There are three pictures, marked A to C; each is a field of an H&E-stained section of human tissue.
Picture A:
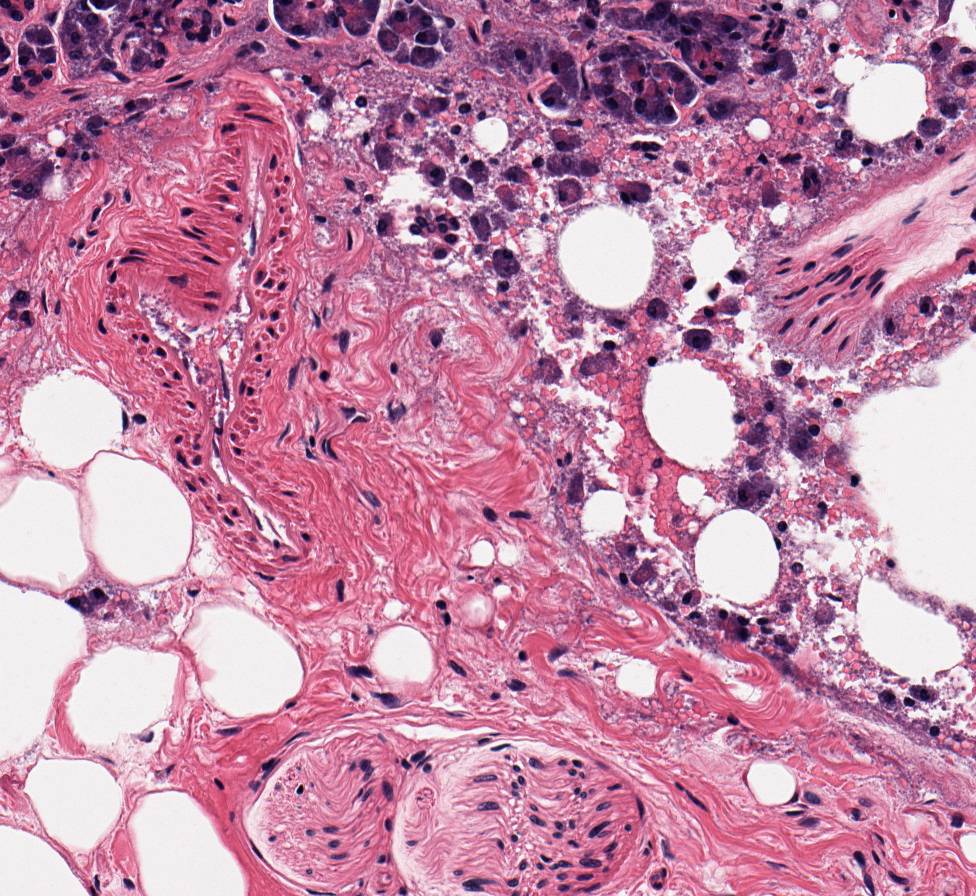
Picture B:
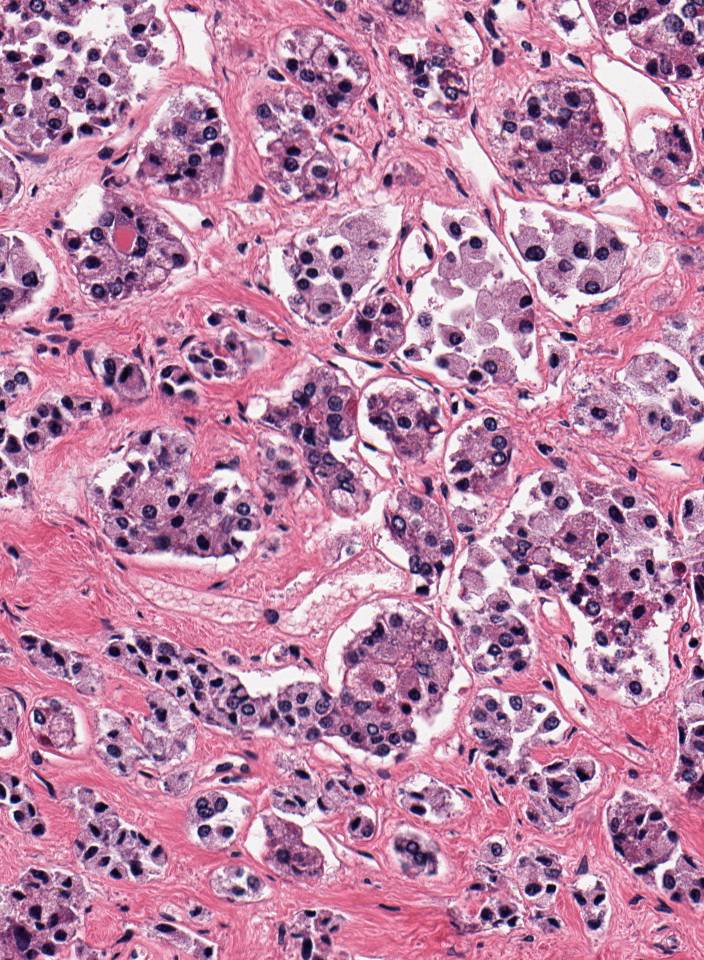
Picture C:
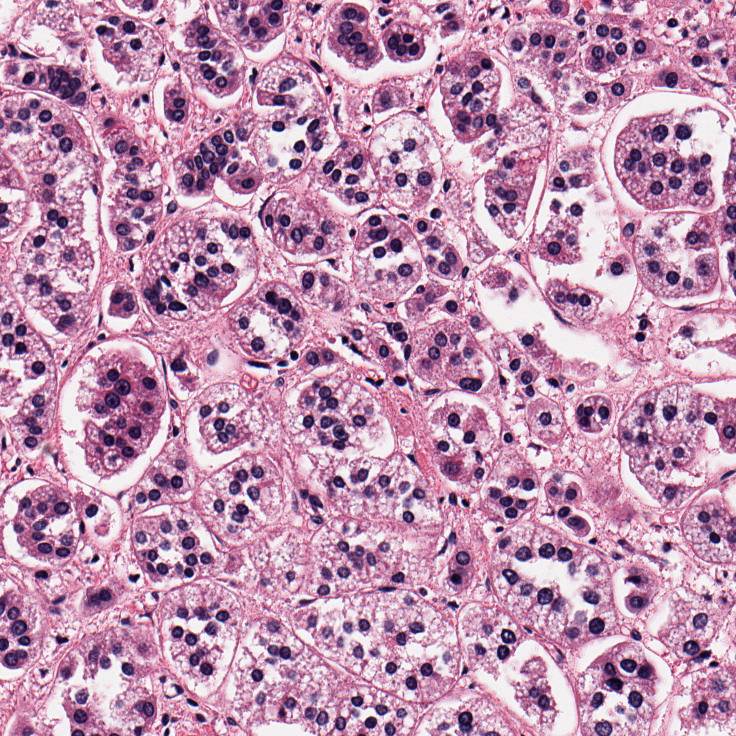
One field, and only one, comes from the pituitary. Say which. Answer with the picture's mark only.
B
